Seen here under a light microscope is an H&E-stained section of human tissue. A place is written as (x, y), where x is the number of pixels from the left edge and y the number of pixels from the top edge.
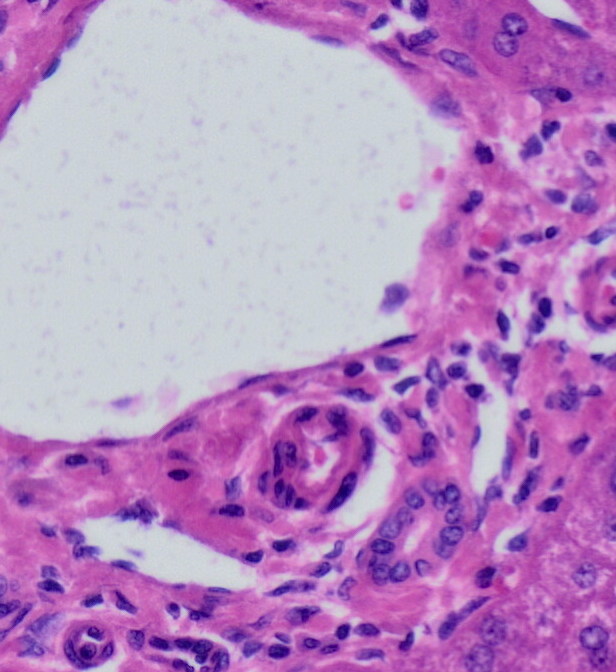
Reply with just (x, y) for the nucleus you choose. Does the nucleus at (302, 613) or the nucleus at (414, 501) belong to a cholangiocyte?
(414, 501)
